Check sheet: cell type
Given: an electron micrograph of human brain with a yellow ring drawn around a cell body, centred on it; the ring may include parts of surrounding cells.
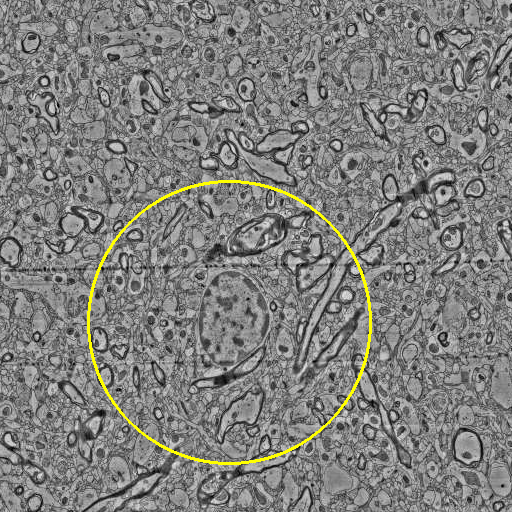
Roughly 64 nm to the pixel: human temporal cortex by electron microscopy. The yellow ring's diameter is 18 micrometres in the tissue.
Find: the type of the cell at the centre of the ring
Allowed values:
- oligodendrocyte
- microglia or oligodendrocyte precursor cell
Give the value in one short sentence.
Here the ringed cell is a microglial cell or oligodendrocyte precursor cell.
